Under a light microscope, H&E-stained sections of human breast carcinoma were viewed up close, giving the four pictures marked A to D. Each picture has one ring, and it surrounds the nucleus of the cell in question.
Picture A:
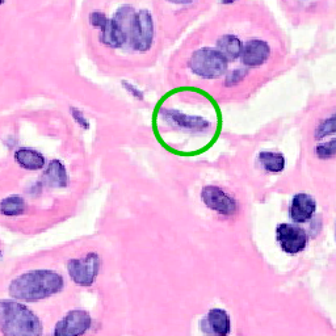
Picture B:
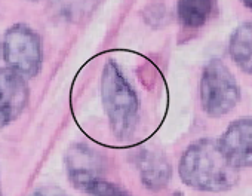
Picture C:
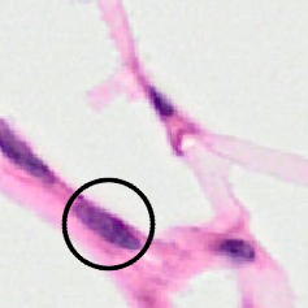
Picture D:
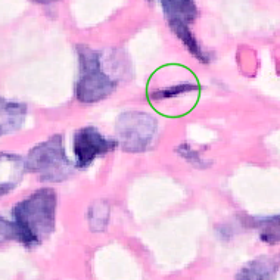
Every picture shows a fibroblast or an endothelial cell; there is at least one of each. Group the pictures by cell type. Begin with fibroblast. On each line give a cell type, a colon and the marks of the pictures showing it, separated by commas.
fibroblast: A, D
endothelial cell: B, C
